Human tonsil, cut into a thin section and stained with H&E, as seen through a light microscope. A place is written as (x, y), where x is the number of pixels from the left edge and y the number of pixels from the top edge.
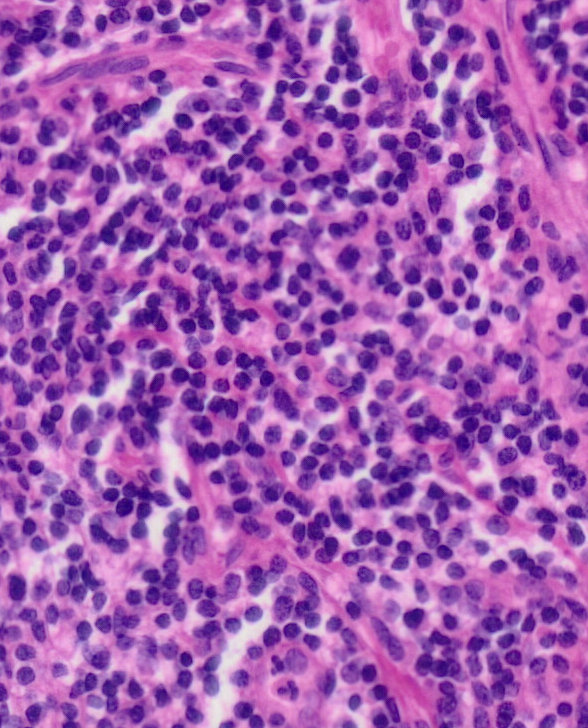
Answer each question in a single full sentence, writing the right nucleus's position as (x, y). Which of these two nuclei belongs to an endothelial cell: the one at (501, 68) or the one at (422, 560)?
Answering which nucleus it is: the one at (501, 68), belonging to an endothelial cell.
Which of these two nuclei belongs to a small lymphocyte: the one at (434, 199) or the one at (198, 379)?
The member of the pair belonging to a small lymphocyte is the nucleus at (198, 379).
